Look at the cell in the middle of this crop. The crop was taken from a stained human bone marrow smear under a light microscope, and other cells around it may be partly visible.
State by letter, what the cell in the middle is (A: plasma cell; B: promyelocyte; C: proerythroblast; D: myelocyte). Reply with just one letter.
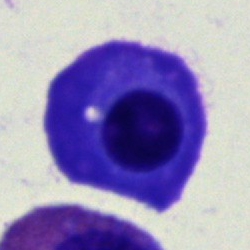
A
